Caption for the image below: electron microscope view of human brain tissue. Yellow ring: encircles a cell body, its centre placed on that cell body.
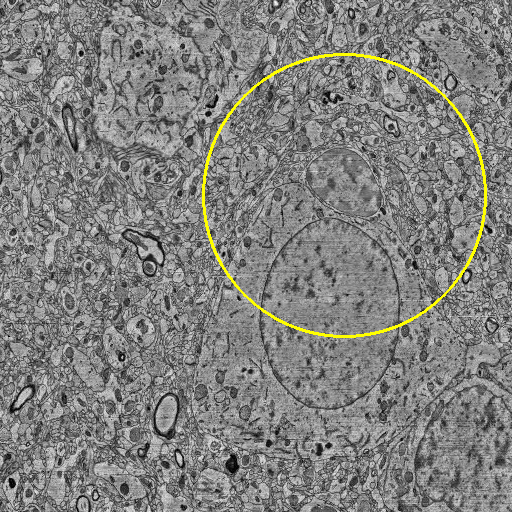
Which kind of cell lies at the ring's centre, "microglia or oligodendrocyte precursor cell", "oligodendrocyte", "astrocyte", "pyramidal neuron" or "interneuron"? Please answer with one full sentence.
The picture shows a microglial cell or oligodendrocyte precursor cell at the centre of the yellow ring.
